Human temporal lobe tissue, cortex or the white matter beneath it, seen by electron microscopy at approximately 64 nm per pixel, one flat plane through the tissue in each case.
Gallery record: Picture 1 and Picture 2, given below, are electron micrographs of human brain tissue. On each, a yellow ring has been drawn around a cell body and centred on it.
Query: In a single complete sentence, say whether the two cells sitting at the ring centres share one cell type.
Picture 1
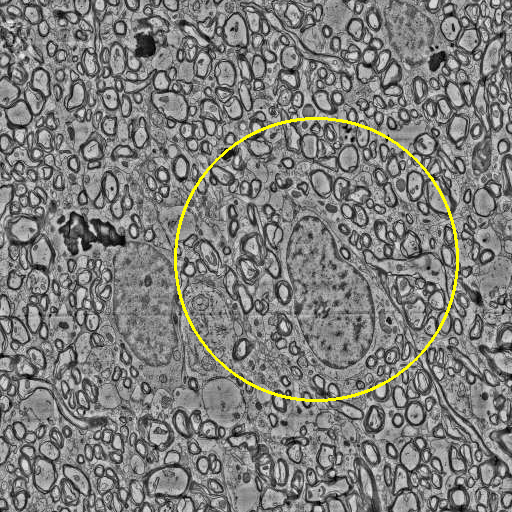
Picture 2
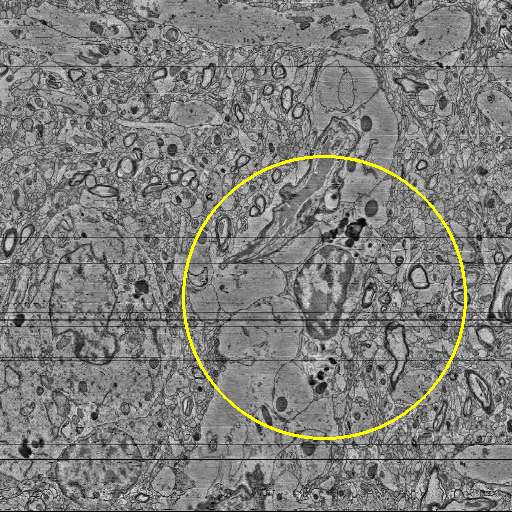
Yes, in both pictures the cell at the ring's centre is of one and the same type.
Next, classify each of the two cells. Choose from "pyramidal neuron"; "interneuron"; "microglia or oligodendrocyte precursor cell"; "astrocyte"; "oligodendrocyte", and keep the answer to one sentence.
Both rings mark a microglial cell or oligodendrocyte precursor cell, one in each picture.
